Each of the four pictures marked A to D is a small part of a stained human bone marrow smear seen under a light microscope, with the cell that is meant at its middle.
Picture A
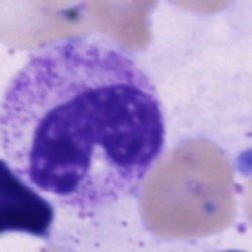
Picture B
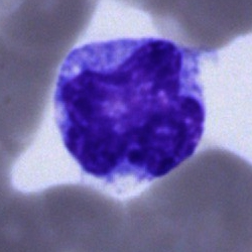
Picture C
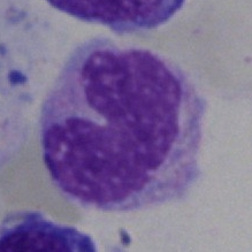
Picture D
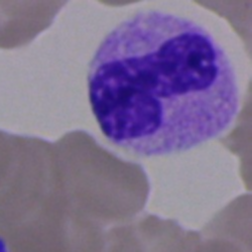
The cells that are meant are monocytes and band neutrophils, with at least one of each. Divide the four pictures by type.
A: band neutrophil
B: monocyte
C: band neutrophil
D: band neutrophil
